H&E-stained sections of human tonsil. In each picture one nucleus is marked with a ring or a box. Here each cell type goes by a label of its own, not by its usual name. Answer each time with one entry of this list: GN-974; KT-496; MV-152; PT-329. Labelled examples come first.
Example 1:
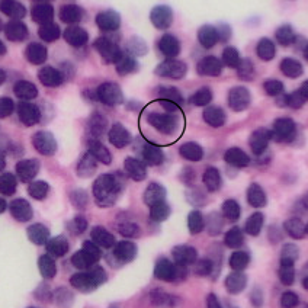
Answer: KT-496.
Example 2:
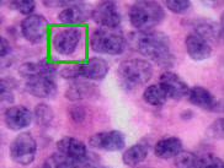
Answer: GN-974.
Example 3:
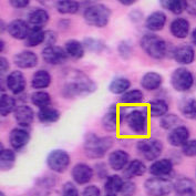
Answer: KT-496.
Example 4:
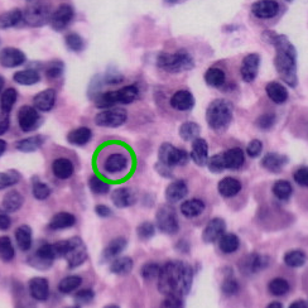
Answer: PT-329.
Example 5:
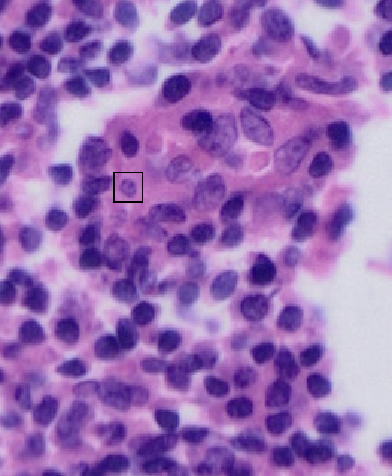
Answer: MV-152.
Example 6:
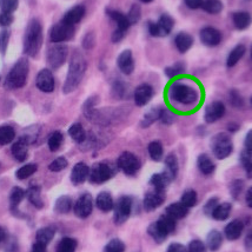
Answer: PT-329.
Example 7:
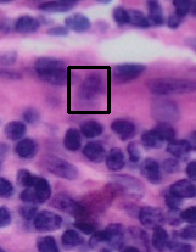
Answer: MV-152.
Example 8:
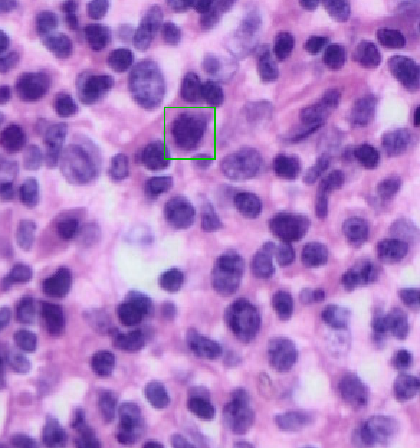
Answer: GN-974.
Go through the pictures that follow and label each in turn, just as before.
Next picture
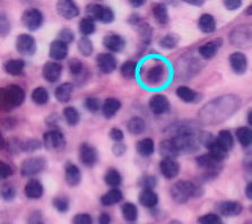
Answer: MV-152.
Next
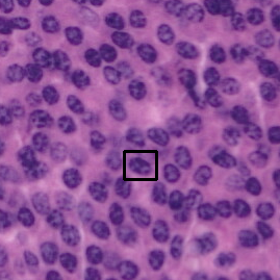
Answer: PT-329.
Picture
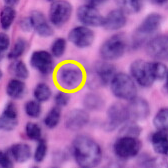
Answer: GN-974.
